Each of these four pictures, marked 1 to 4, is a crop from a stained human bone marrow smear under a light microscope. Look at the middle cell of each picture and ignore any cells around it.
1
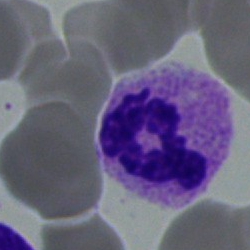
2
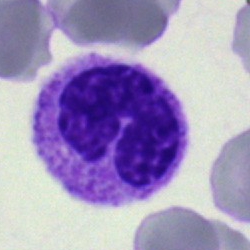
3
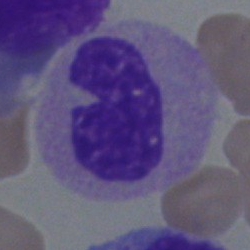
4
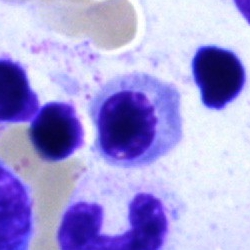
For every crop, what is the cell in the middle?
1: segmented neutrophil
2: band neutrophil
3: band neutrophil
4: normoblast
